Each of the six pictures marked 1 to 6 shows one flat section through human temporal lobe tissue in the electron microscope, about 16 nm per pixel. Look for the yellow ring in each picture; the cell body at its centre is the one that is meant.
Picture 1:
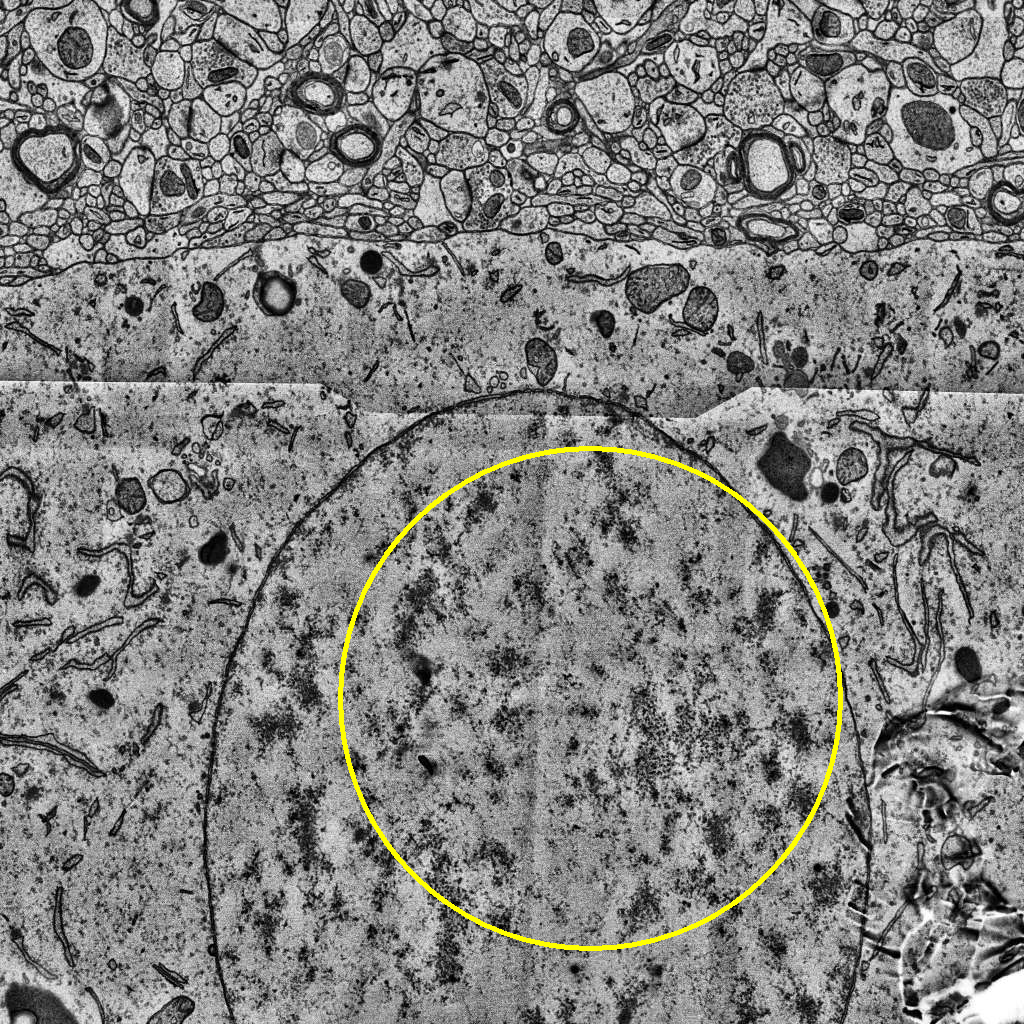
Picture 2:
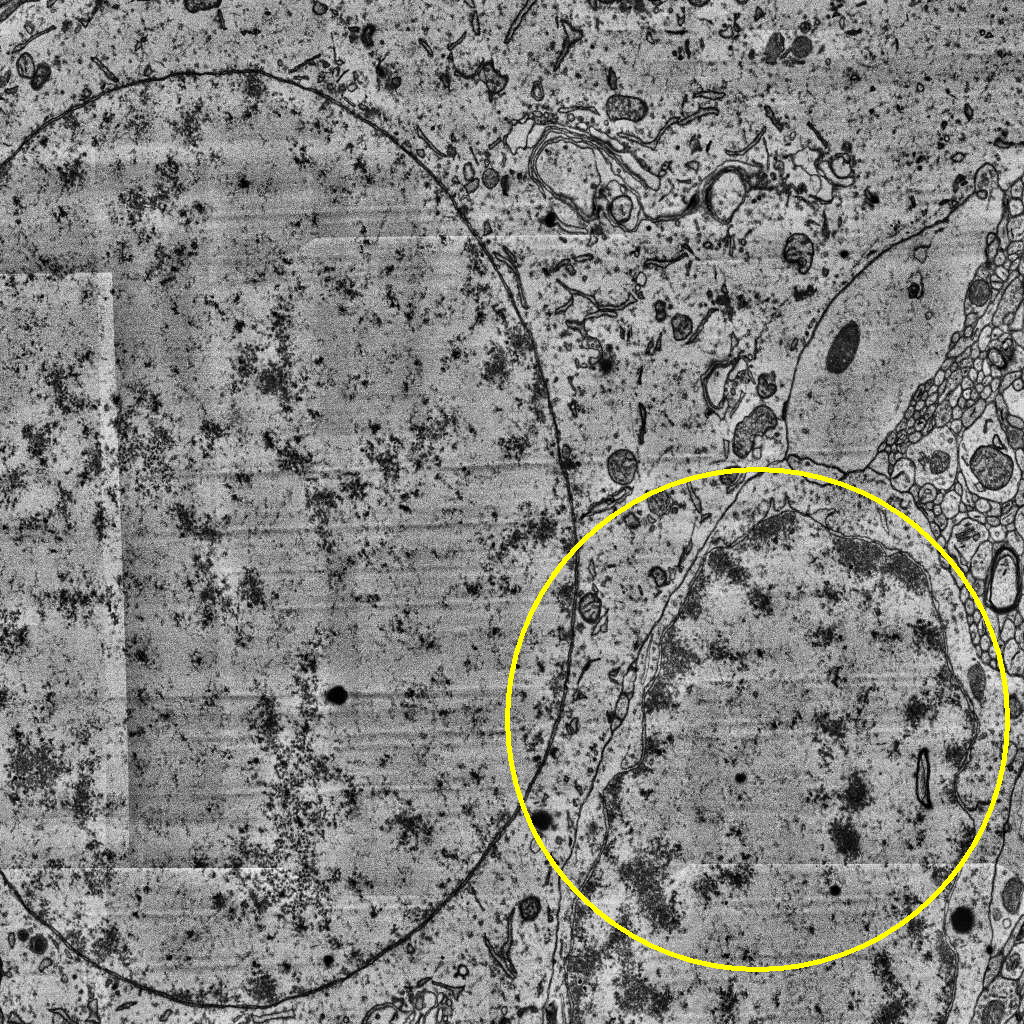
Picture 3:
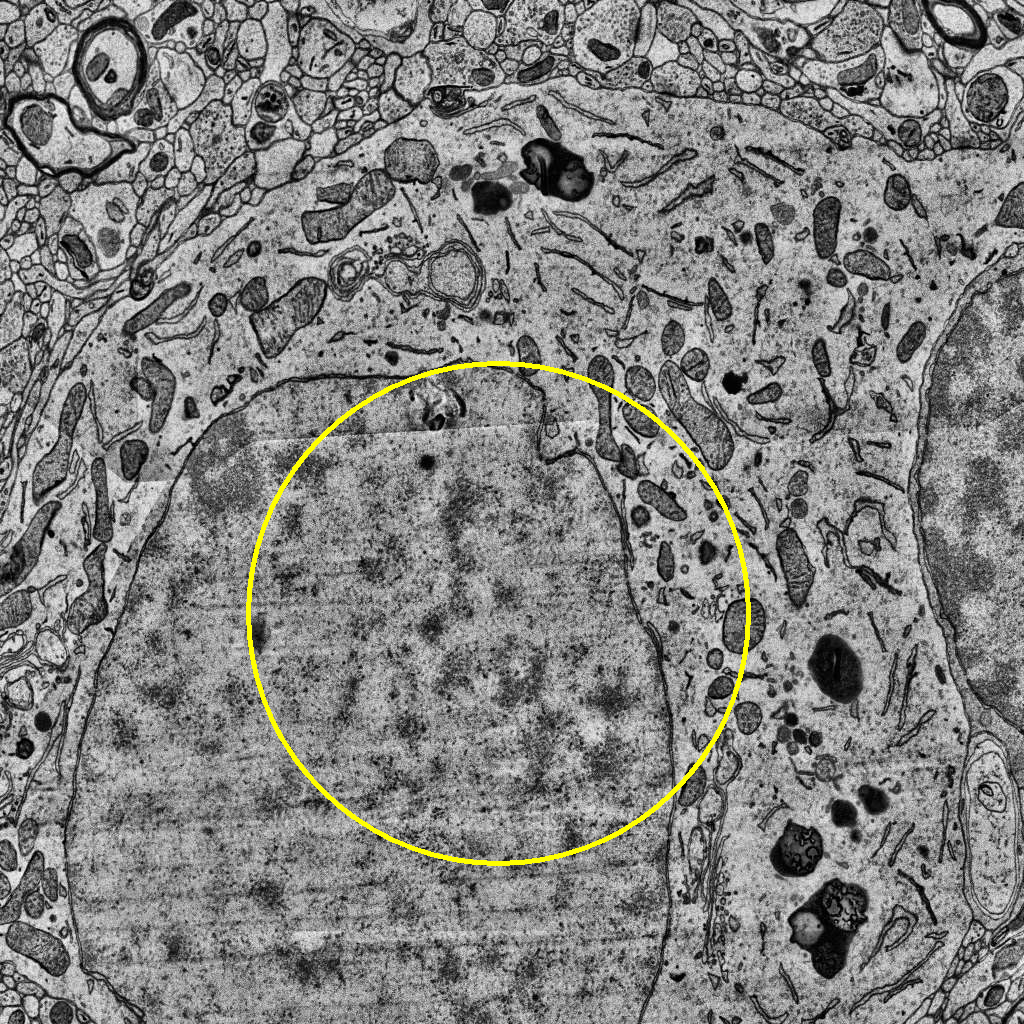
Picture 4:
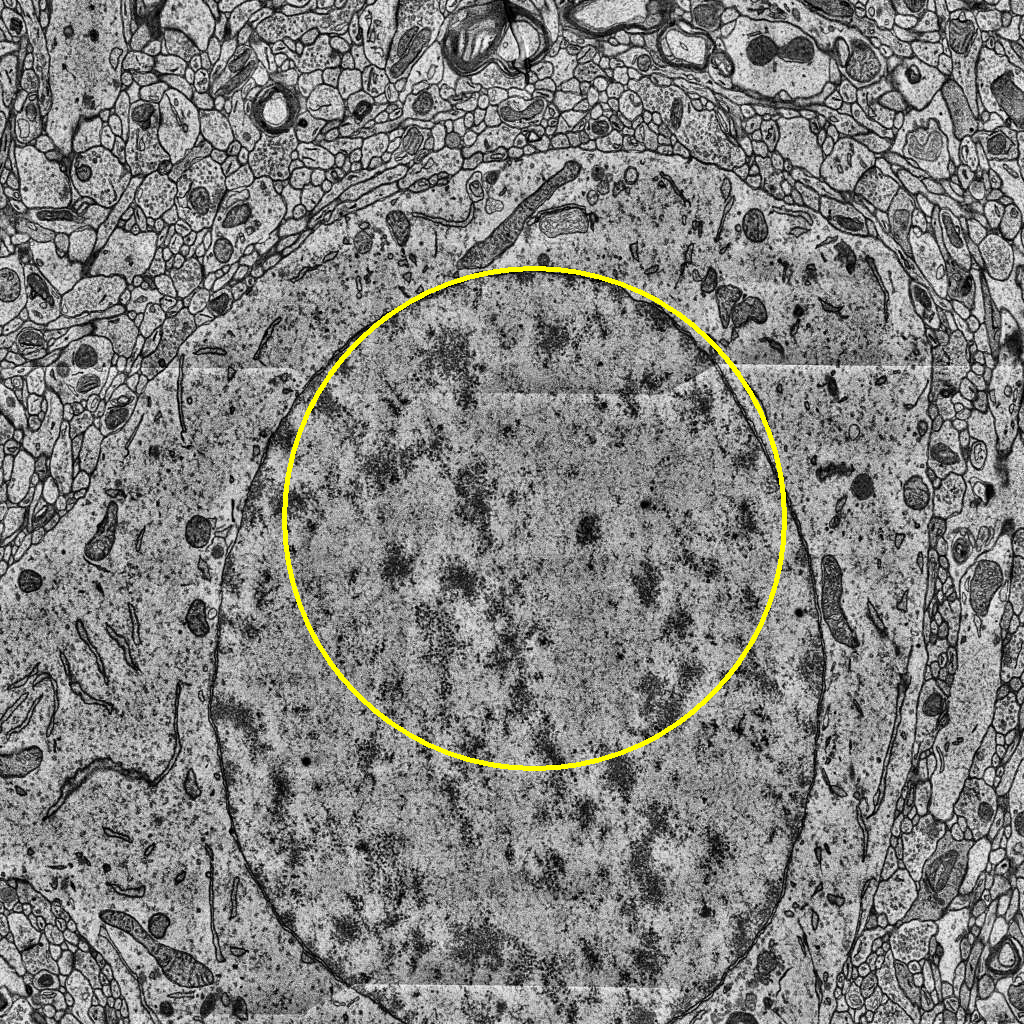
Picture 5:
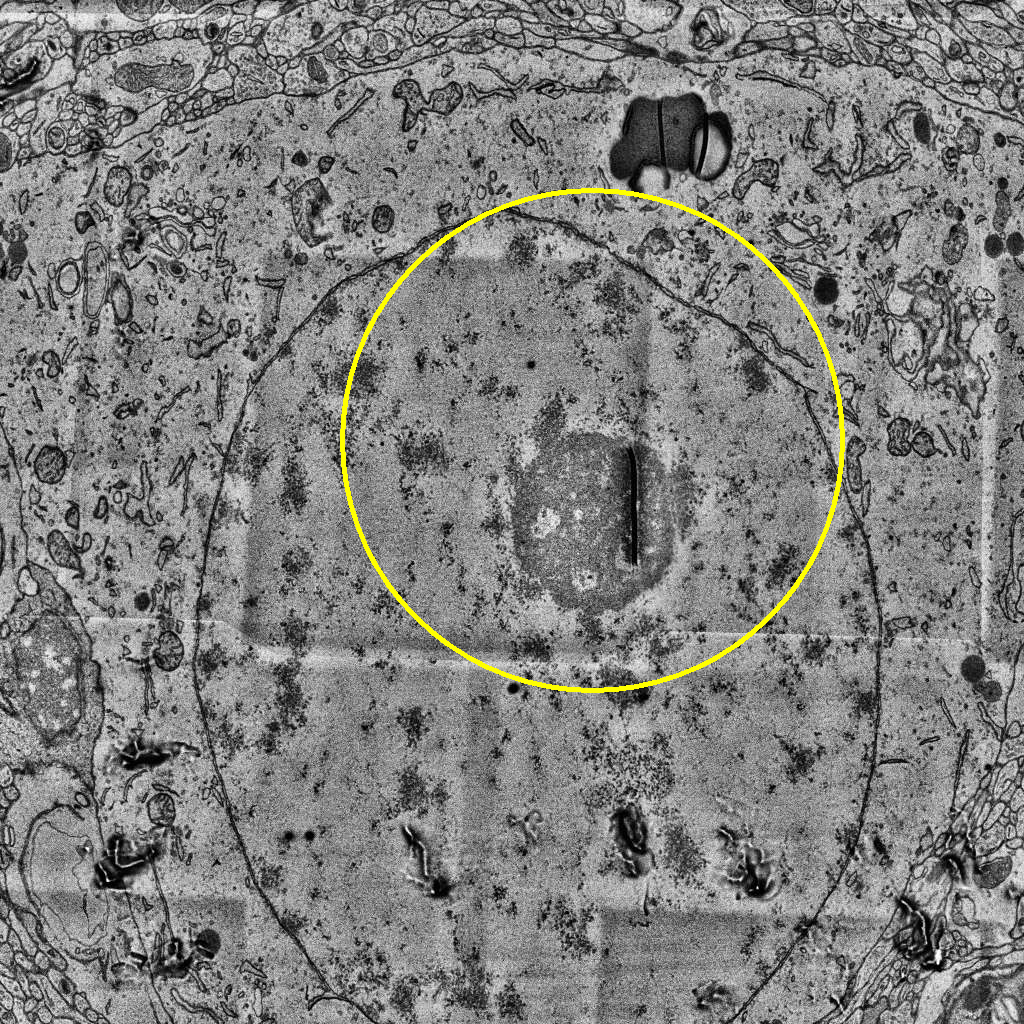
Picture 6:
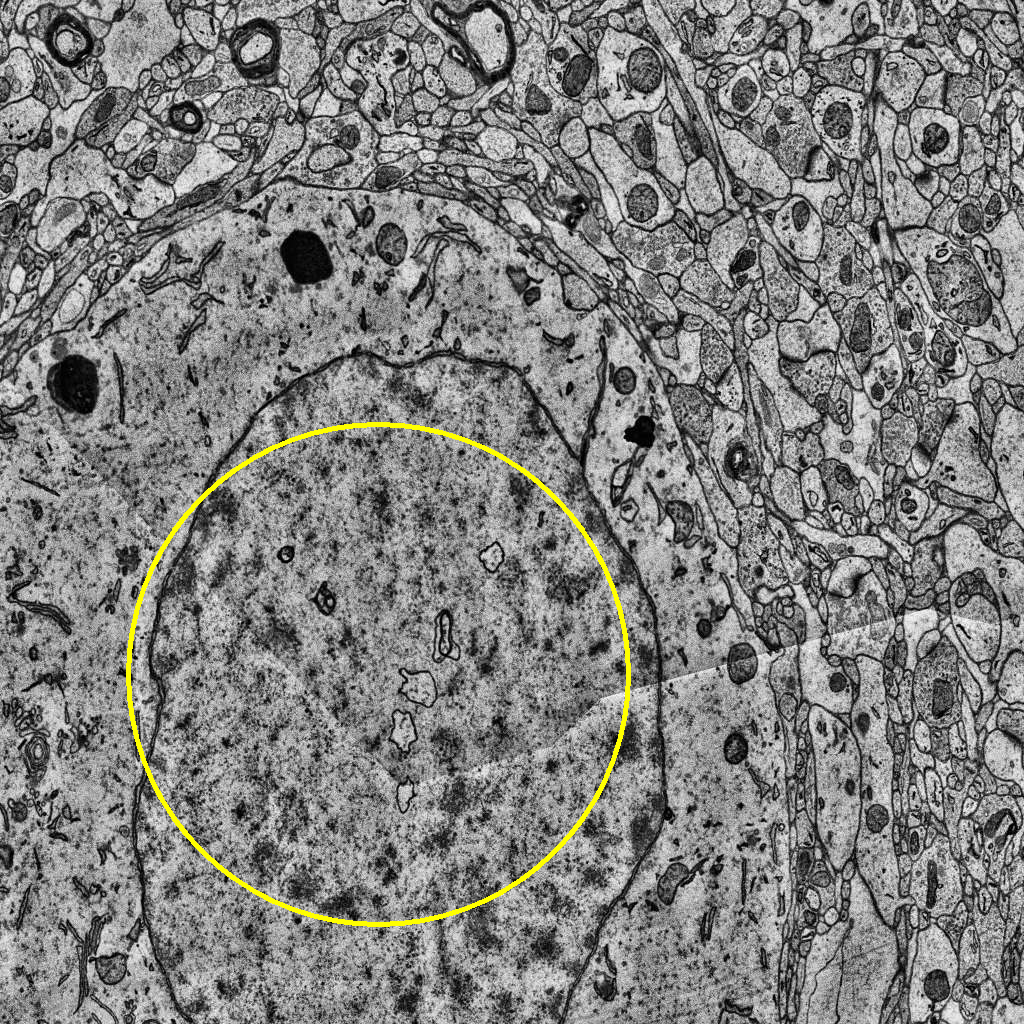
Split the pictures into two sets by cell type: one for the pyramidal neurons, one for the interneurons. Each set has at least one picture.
Pictures 1, 4, 5 and 6 show pyramidal neurons, while pictures 2 and 3 show interneurons.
